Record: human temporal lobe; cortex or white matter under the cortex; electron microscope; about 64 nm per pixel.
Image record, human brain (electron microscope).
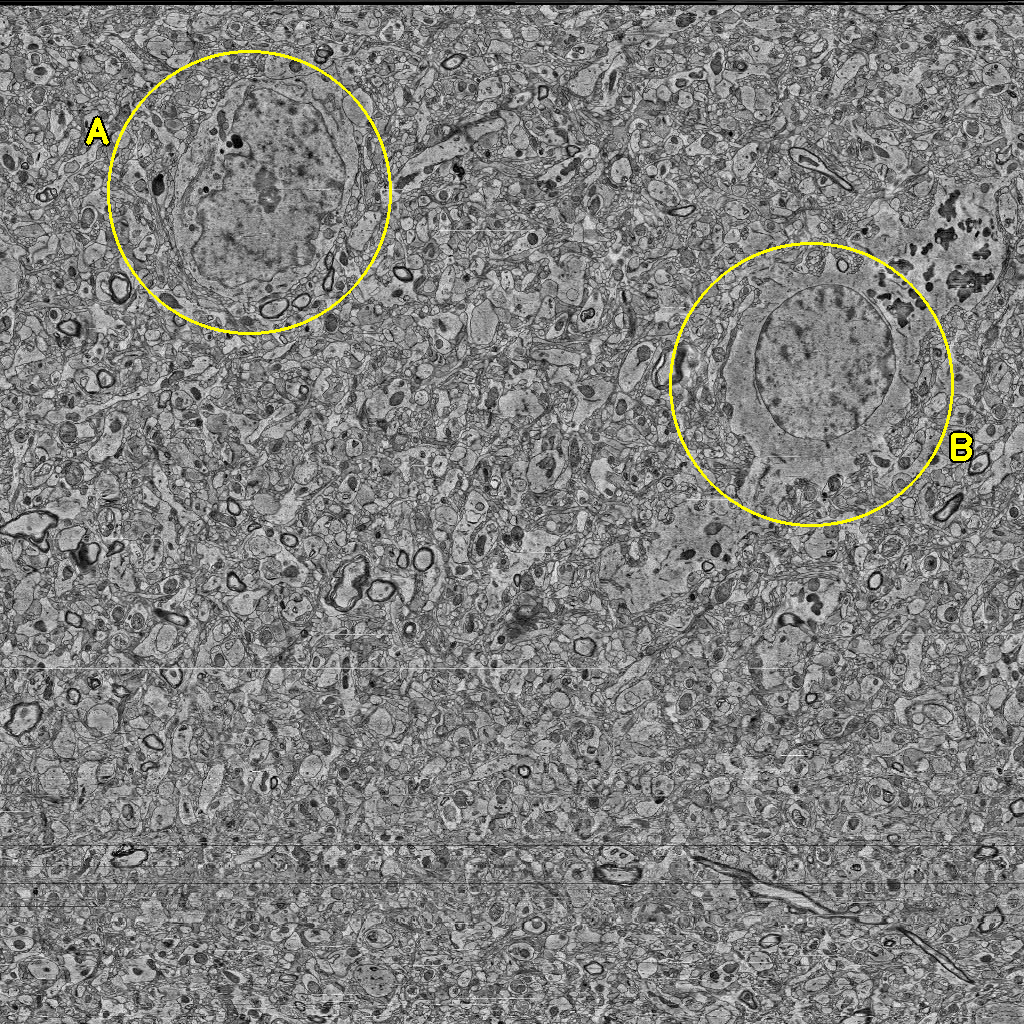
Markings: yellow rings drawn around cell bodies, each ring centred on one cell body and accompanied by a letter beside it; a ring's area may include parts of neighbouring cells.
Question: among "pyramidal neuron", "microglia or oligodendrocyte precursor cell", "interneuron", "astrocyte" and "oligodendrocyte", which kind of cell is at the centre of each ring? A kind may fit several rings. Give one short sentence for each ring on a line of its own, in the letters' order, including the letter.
Ring A is centred on the cell body of an interneuron.
Ring B is centred on the cell body of an astrocyte.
